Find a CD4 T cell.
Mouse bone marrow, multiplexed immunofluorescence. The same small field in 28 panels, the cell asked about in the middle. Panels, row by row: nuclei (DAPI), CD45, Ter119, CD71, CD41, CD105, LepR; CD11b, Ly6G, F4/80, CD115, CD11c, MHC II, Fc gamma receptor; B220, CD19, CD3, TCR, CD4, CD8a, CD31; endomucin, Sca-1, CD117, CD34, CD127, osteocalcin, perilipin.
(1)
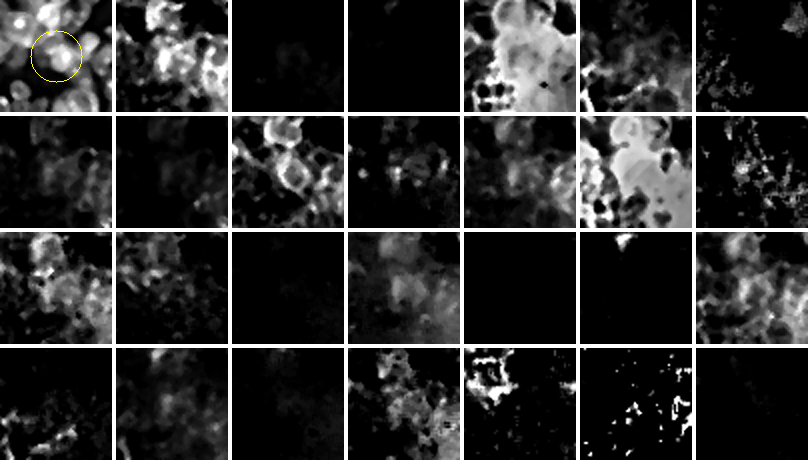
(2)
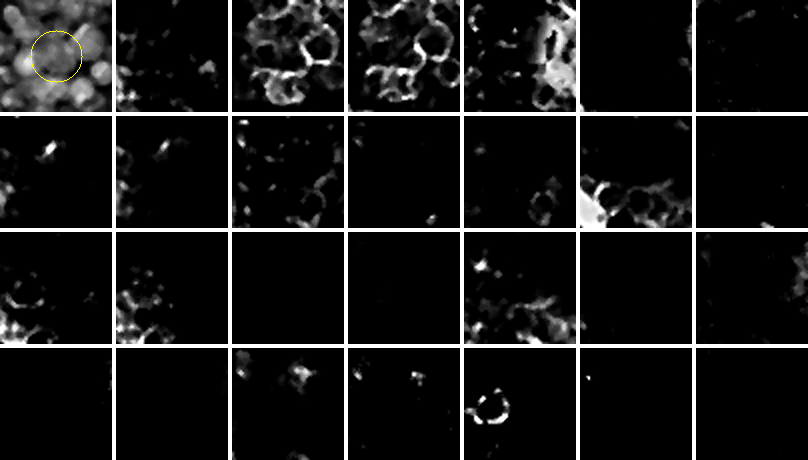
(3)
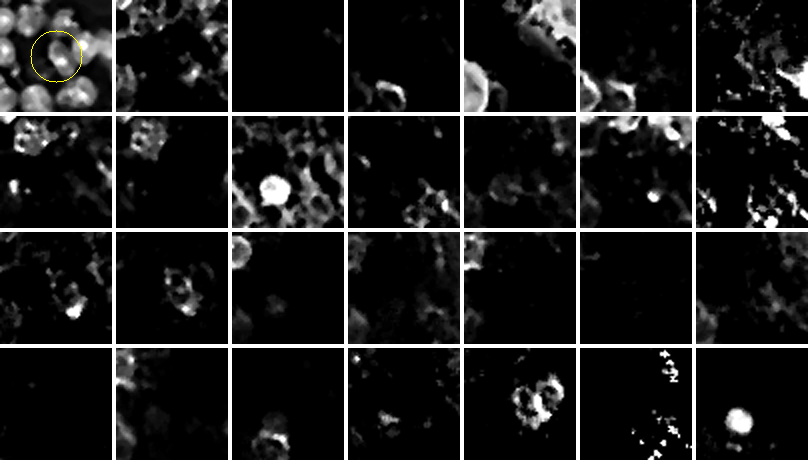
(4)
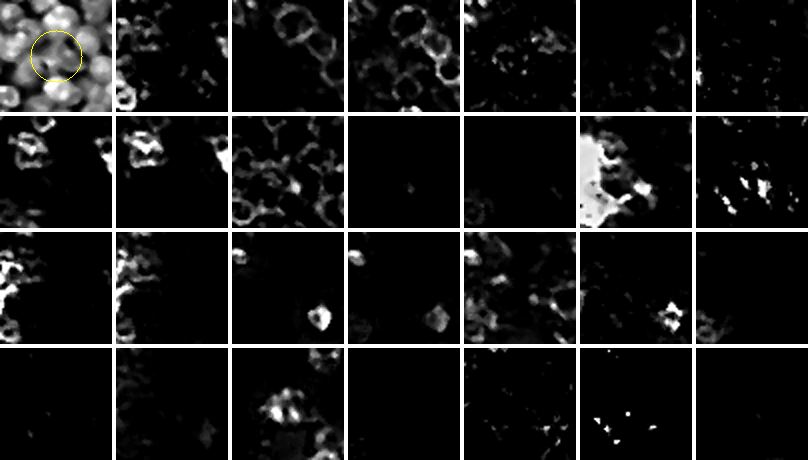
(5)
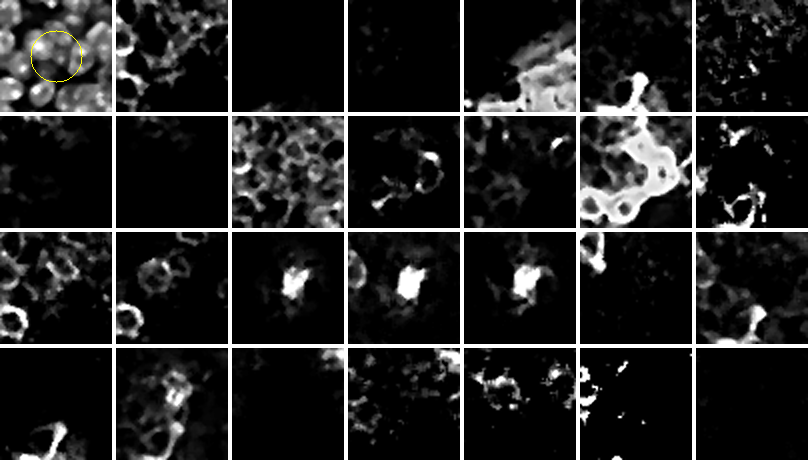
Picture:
5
